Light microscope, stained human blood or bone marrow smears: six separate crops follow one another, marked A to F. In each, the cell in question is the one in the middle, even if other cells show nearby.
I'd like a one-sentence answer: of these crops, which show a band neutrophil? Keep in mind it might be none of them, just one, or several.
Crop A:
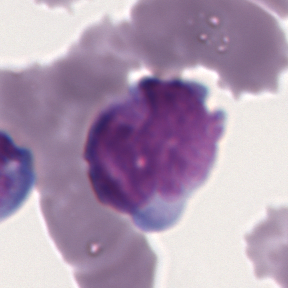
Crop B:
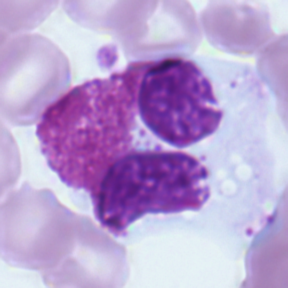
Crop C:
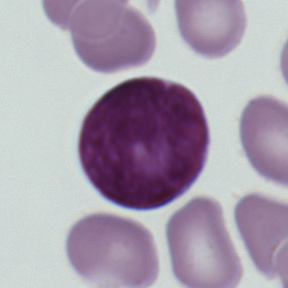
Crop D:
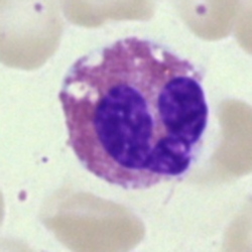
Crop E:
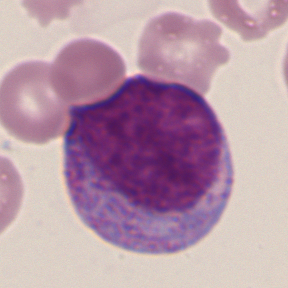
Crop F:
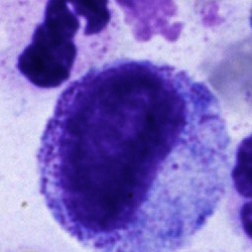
What is shown in the crops does not include a band neutrophil.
